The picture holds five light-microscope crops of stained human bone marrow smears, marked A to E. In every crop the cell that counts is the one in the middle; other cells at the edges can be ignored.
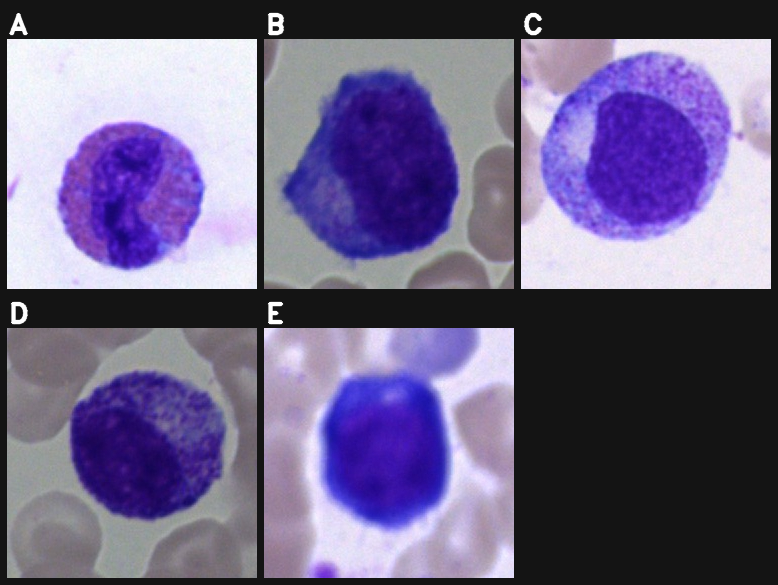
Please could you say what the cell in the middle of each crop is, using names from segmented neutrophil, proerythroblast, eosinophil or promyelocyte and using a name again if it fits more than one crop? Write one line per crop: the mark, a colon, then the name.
A: eosinophil
B: promyelocyte
C: promyelocyte
D: promyelocyte
E: proerythroblast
